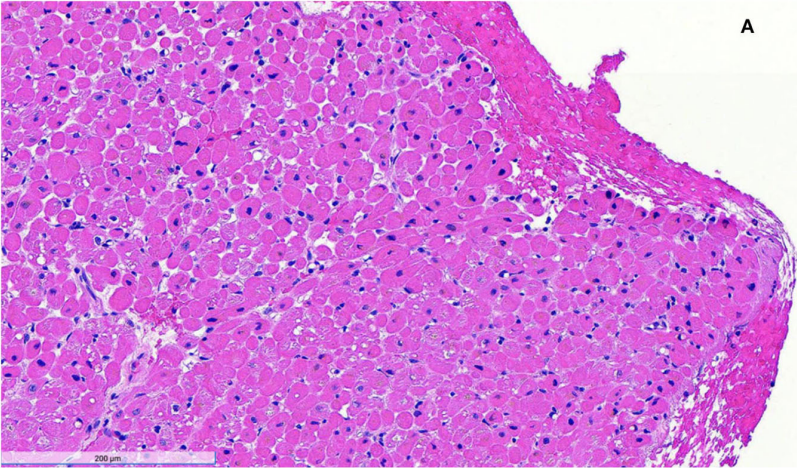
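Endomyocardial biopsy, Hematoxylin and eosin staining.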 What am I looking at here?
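Heart muscle in cross section: closely packed myocytes with pink cytoplasm and single central dark nuclei, separated by narrow interstitial spaces with few small nuclei. No necrotic fibres and no clusters of inflammatory or giant cells are seen. A denser, more homogeneous pink layer lines one edge of the fragment.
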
